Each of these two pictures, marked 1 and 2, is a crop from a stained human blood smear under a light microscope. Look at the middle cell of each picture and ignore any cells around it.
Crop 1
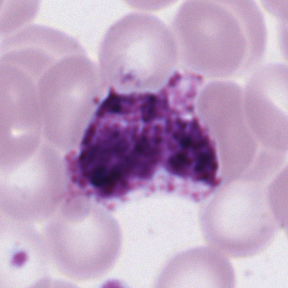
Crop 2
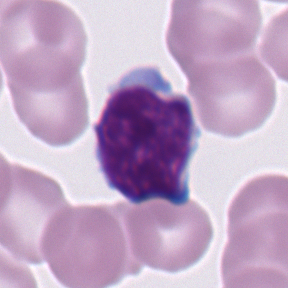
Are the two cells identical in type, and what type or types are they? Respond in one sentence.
No, record crop 1 as a basophil and crop 2 as a lymphocyte.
